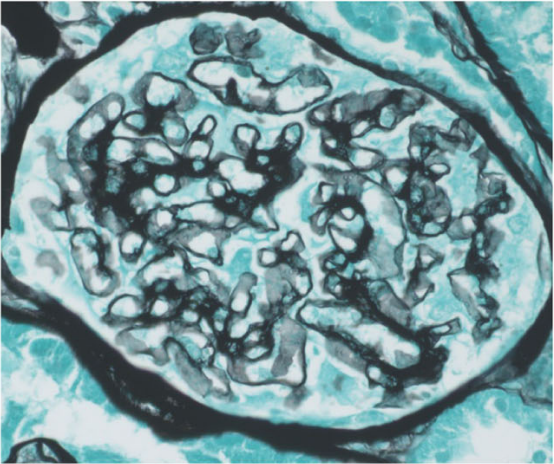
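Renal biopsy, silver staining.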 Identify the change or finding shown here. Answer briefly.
Vacuolisation of the basement membrane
